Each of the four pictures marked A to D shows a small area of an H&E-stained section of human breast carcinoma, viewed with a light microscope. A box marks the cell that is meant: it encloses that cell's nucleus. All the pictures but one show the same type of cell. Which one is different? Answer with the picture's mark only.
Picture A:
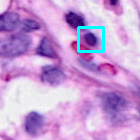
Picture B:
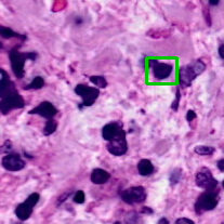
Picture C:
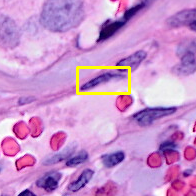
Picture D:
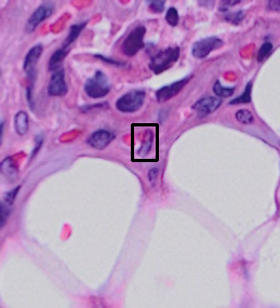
B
